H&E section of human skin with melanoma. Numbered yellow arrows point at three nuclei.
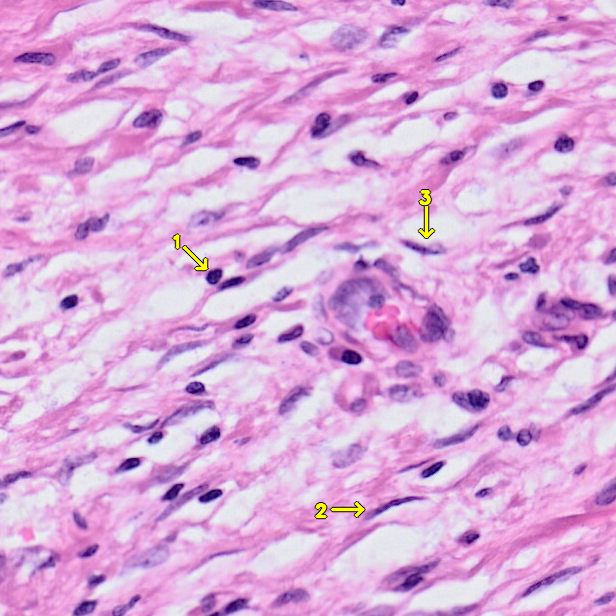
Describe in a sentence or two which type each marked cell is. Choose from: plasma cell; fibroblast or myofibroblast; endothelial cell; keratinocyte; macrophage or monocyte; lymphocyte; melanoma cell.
Cell 1 is a lymphocyte. Cells 2 and 3 are fibroblasts or myofibroblasts.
